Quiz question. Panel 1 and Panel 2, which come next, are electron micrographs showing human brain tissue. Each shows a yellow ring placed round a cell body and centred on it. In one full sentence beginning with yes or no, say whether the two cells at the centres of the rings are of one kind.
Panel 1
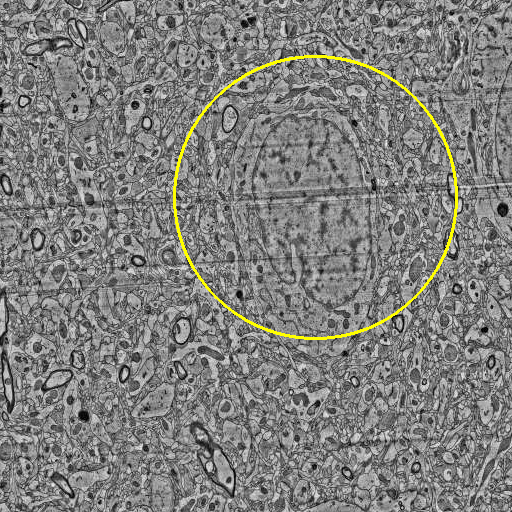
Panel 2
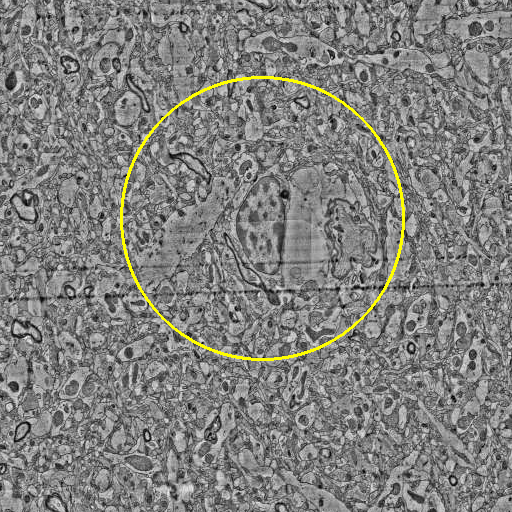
No, Panel 1 and Panel 2 show two kinds of cell at the centre of the ring.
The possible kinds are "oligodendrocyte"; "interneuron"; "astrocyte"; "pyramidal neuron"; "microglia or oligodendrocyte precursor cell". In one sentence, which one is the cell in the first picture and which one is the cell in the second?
The cell ringed in the second picture is a microglial cell or oligodendrocyte precursor cell, whereas the one ringed in the first is an interneuron.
